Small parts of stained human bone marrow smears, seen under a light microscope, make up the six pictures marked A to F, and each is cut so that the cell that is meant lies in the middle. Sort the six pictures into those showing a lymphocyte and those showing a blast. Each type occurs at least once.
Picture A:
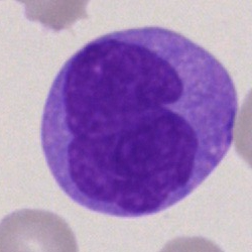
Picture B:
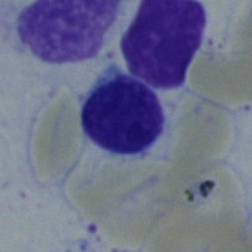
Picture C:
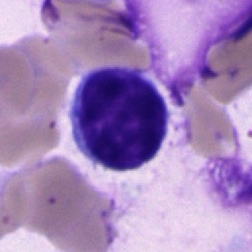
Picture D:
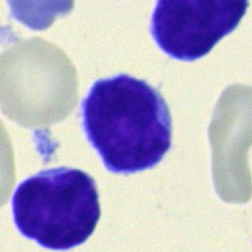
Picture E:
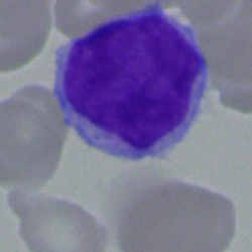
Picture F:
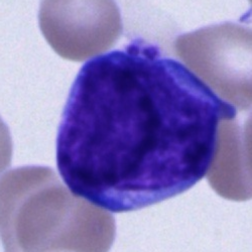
A: blast
B: lymphocyte
C: lymphocyte
D: lymphocyte
E: lymphocyte
F: blast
